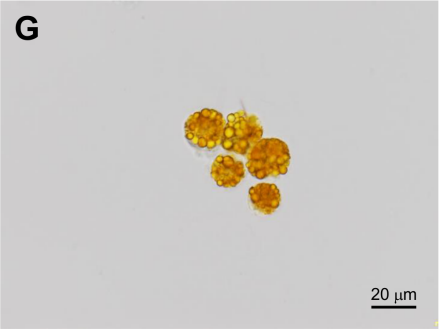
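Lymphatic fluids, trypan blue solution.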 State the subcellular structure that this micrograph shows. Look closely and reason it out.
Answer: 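Round cells are packed with many small round refractile granules. The granules are yellow-orange and fill the cytoplasm. That points to this answer: lipid droplets.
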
